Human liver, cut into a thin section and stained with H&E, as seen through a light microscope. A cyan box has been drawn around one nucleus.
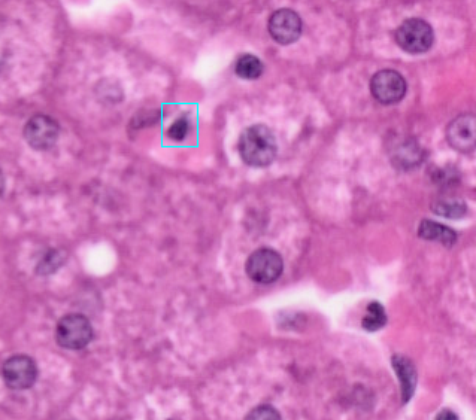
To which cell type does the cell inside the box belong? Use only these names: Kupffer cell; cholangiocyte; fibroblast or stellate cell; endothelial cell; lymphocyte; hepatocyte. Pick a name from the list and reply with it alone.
lymphocyte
